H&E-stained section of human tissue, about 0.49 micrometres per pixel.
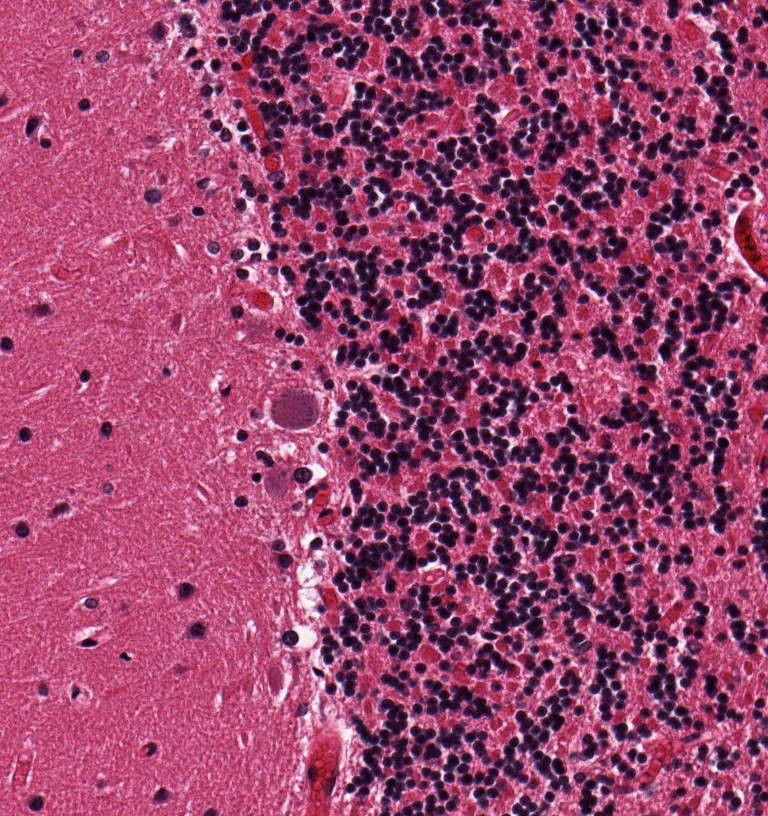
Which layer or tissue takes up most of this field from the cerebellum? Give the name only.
granular layer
